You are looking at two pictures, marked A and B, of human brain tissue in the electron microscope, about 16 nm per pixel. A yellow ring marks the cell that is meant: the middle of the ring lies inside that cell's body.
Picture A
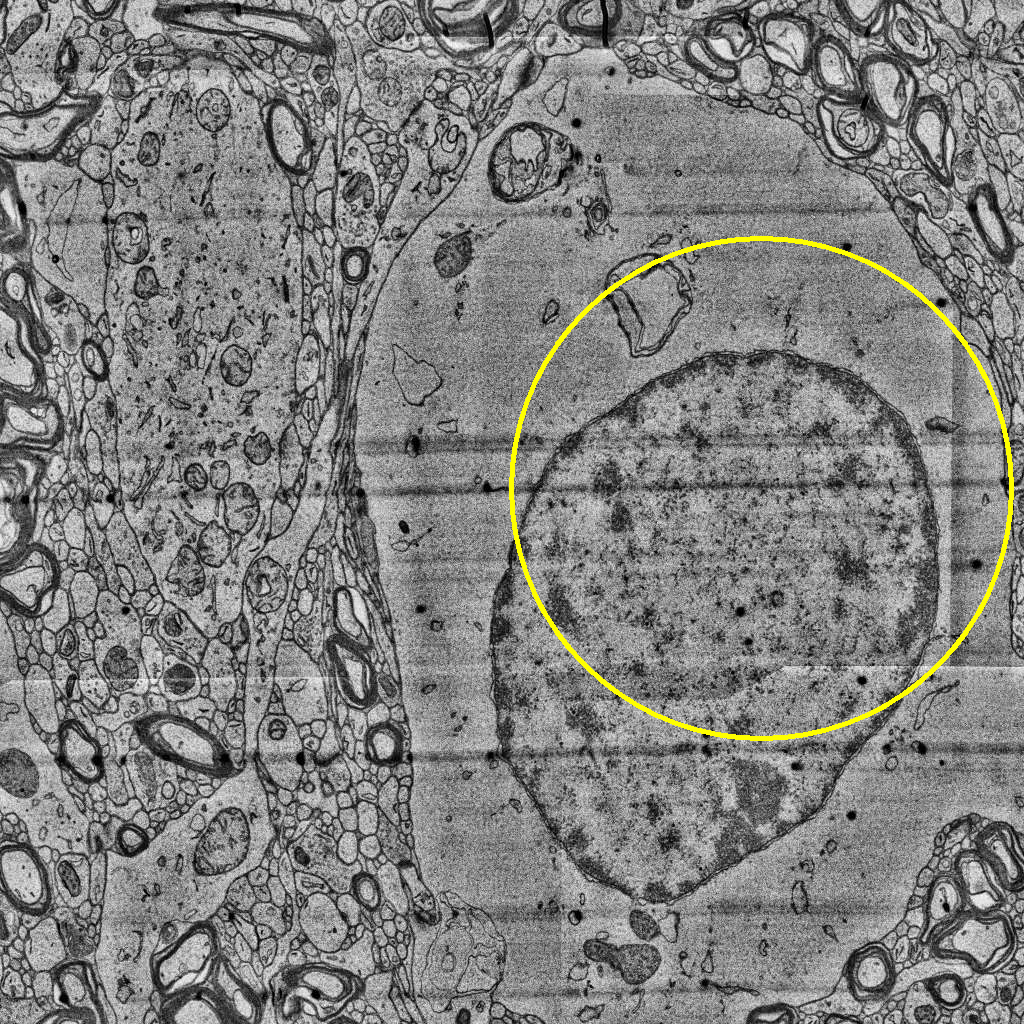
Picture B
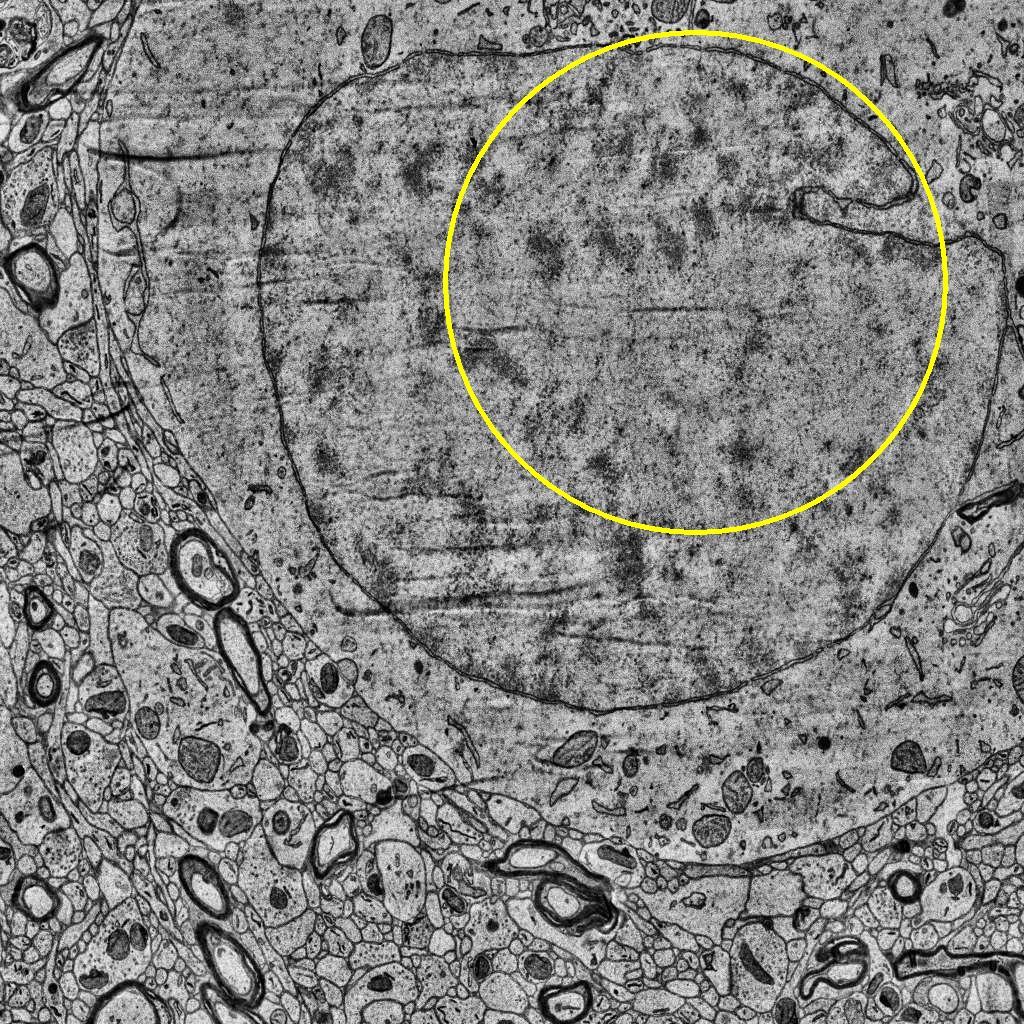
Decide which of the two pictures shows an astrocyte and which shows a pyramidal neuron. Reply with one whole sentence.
In picture A the cell is an astrocyte; in picture B, a pyramidal neuron.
